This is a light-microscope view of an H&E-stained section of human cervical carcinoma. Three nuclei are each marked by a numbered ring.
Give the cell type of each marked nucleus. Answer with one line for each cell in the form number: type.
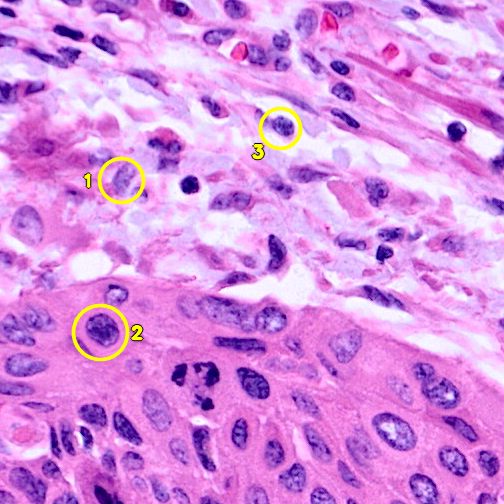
1: fibroblast
2: squamous carcinoma cell
3: lymphocyte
